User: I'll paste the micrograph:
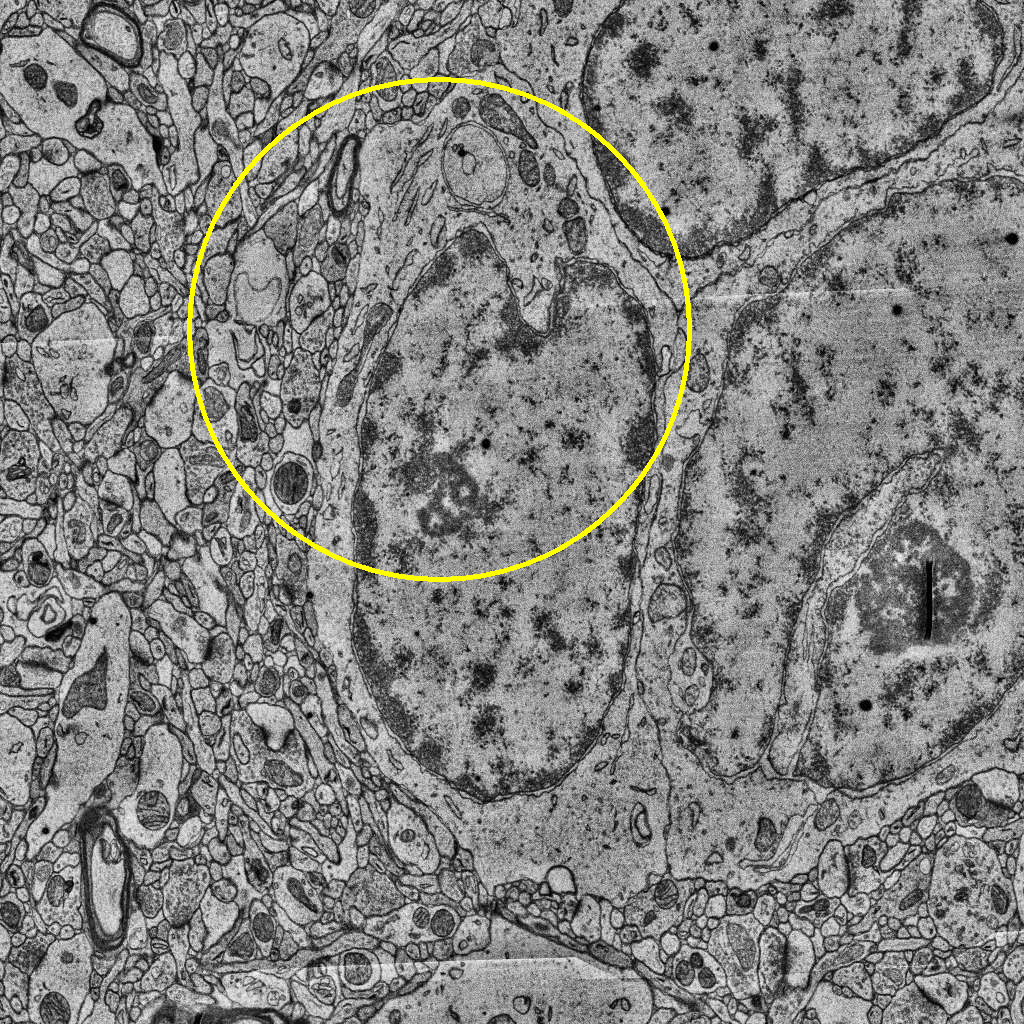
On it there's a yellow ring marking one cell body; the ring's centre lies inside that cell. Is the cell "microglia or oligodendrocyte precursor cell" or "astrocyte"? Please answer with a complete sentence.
The cell at the centre of the yellow ring is a microglial cell or oligodendrocyte precursor cell.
